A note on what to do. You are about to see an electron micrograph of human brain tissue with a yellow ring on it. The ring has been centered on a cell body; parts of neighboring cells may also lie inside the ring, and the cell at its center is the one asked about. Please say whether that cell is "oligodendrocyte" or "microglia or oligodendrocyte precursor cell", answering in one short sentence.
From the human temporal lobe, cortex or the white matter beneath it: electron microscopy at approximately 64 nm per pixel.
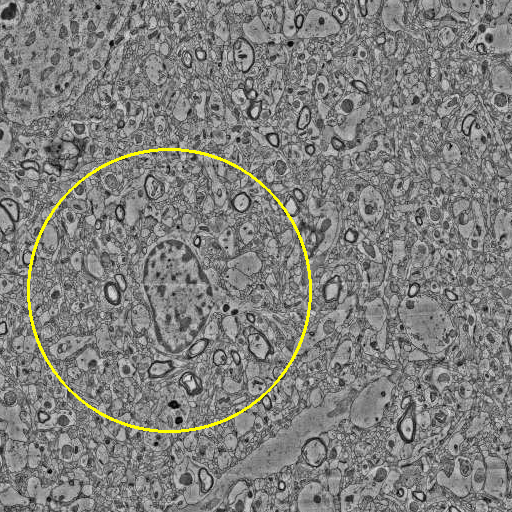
The yellow ring sits on a microglial cell or oligodendrocyte precursor cell.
